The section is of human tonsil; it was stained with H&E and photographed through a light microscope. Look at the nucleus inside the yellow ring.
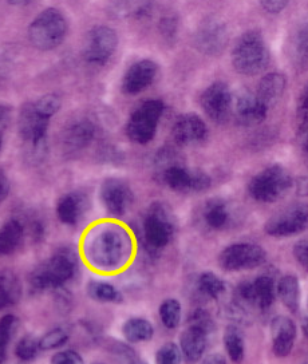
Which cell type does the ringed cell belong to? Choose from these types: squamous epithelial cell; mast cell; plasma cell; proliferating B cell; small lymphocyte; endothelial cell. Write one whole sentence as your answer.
This is a squamous epithelial cell.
